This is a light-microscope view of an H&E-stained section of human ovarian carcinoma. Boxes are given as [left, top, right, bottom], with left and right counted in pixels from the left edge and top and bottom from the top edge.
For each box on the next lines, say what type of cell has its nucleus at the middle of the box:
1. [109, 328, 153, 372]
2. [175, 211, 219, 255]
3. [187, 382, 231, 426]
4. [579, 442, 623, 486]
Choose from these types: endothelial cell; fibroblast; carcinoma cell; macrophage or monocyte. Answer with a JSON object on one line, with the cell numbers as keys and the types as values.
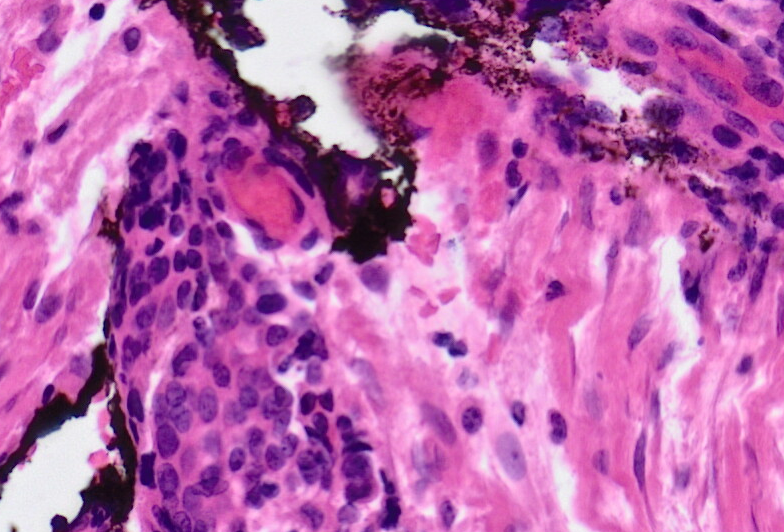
{"1": "carcinoma cell", "2": "carcinoma cell", "3": "carcinoma cell", "4": "fibroblast"}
